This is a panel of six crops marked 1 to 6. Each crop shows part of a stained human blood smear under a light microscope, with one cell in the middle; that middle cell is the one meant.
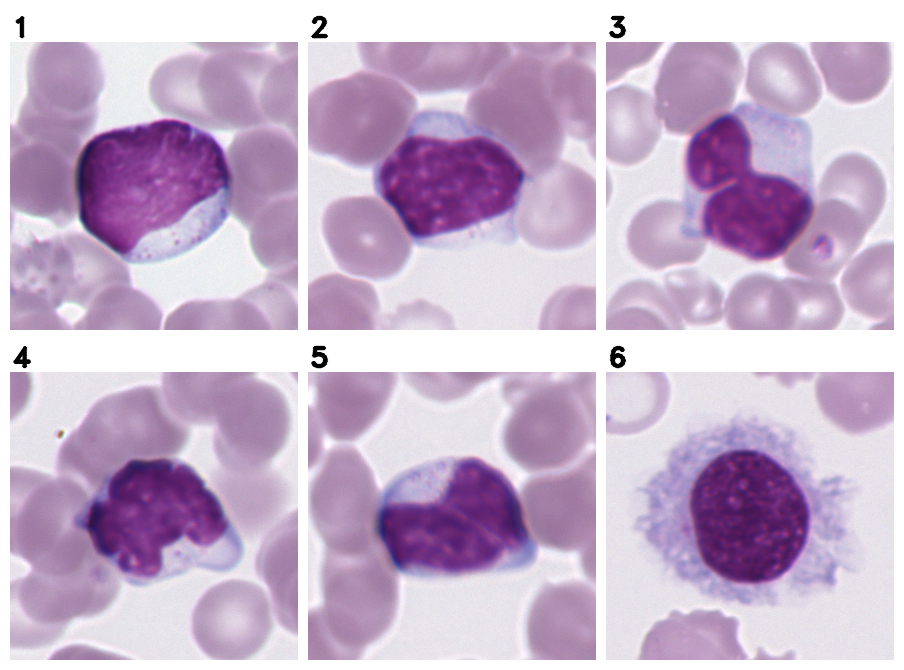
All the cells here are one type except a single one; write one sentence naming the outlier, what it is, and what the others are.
Found in all crops but one are large granular lymphocytes; the exception, crop 6, contains a hairy cell.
